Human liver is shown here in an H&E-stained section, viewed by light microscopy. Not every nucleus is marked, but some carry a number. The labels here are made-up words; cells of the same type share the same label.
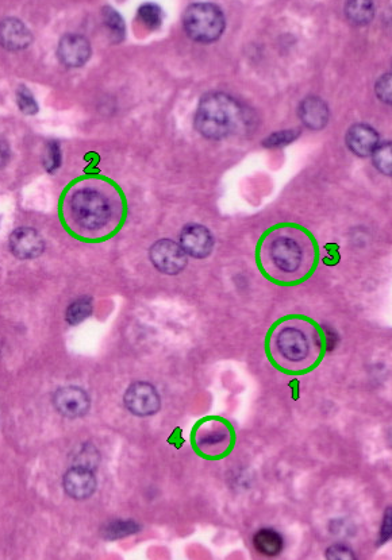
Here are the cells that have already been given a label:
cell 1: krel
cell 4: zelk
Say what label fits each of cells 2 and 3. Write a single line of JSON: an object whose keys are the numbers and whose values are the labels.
{"2": "krel", "3": "krel"}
